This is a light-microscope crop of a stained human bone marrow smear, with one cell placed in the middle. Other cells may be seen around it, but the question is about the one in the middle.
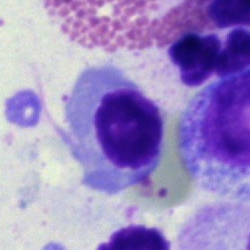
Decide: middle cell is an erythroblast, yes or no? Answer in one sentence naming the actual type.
Yes, the cell in the middle of the crop is an erythroblast.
